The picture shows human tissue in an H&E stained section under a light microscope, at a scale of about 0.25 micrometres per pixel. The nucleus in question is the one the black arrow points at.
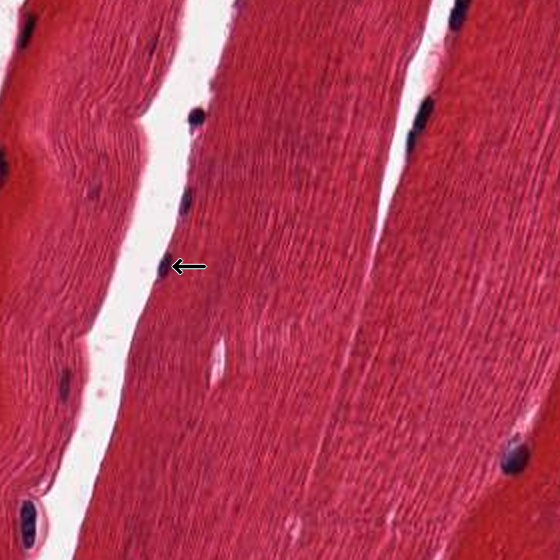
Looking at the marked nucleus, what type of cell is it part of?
skeletal muscle fibre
